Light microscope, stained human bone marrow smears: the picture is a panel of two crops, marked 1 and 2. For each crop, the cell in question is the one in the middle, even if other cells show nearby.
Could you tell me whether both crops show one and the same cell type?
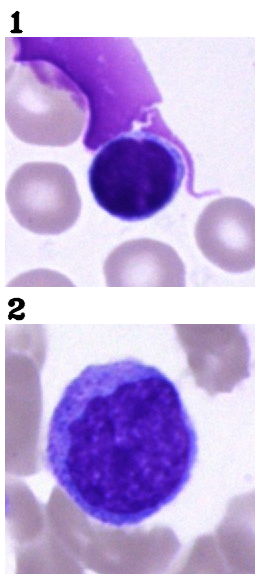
no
